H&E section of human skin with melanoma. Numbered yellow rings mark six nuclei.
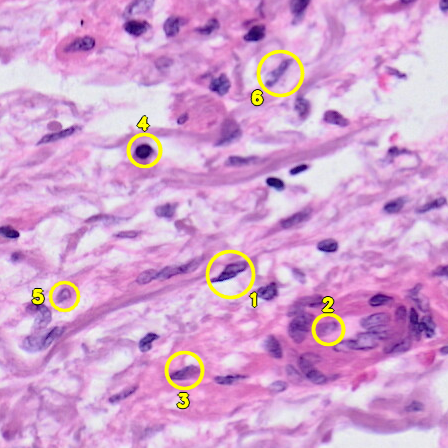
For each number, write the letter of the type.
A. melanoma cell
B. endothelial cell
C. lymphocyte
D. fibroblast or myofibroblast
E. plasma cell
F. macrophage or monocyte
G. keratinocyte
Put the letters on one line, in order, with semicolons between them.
D; B; D; E; F; D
